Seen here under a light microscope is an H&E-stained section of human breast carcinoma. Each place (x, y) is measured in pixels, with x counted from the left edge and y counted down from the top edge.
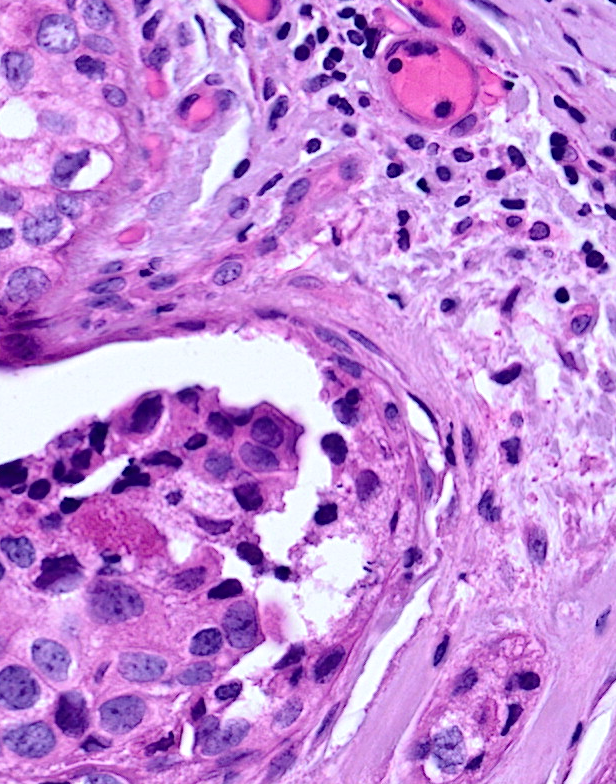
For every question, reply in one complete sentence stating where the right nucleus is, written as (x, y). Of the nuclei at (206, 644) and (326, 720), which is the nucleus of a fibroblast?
The nucleus of the pair that lies within a fibroblast is at (326, 720).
